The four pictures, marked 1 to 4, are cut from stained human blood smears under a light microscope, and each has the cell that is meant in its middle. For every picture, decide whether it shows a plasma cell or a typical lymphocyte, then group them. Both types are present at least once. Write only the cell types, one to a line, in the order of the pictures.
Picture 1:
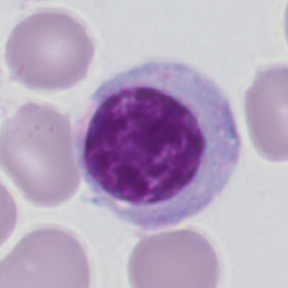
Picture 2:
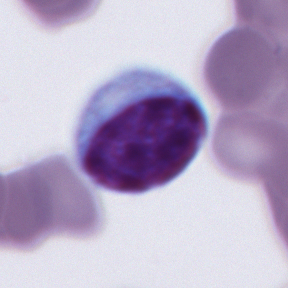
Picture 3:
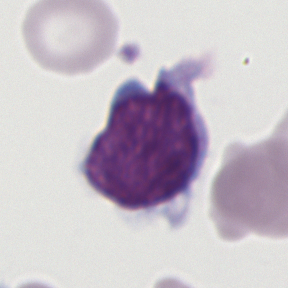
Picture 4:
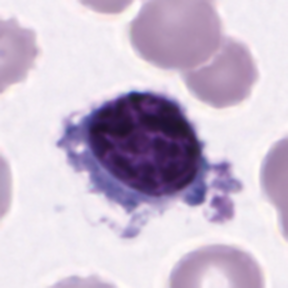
plasma cell
typical lymphocyte
typical lymphocyte
plasma cell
